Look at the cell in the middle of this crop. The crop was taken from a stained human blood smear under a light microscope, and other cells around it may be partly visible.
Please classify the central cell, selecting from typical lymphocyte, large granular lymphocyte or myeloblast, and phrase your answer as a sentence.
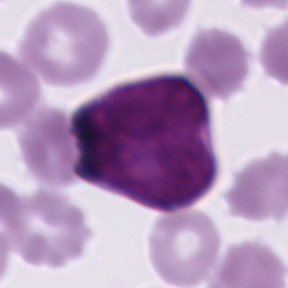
The single cell at the center of the crop is a myeloblast.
